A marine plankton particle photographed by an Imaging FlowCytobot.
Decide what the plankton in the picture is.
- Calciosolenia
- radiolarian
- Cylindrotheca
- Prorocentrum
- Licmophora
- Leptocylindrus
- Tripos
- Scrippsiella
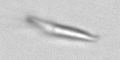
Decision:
Calciosolenia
